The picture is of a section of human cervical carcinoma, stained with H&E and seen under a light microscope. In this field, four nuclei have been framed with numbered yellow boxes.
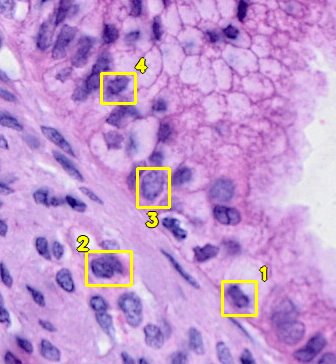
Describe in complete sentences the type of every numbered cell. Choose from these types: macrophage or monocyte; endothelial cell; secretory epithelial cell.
Cells 1, 3 and 4 are secretory epithelial cells. Cell 2 is an endothelial cell.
